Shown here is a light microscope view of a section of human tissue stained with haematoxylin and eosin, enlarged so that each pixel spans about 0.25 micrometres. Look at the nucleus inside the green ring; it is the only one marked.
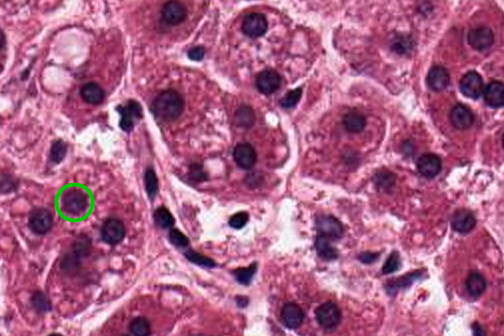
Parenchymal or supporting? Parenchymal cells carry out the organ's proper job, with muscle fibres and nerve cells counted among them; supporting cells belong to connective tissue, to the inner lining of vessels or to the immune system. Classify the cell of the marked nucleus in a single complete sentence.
The marked nucleus is assigned to a parenchymal cell, namely an adrenal cortical cell.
